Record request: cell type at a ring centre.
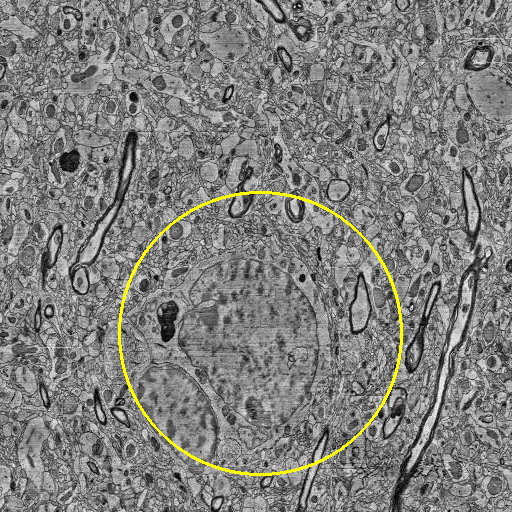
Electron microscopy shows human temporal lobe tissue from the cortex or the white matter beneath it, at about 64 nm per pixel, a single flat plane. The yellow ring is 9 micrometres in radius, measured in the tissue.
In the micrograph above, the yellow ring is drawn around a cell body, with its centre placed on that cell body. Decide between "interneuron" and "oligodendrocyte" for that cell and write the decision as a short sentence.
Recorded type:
The cell centred in the yellow ring is an interneuron.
